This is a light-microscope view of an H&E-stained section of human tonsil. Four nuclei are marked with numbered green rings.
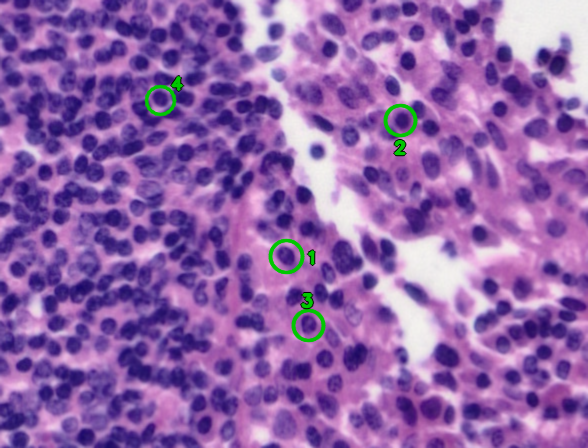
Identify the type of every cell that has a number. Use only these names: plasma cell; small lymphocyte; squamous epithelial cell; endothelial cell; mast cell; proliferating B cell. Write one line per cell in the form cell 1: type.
cell 1: plasma cell
cell 2: plasma cell
cell 3: plasma cell
cell 4: small lymphocyte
